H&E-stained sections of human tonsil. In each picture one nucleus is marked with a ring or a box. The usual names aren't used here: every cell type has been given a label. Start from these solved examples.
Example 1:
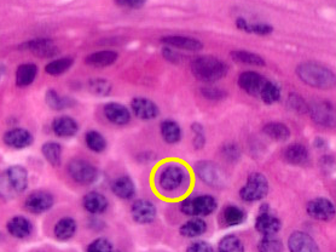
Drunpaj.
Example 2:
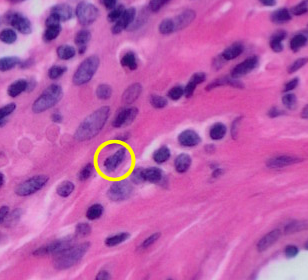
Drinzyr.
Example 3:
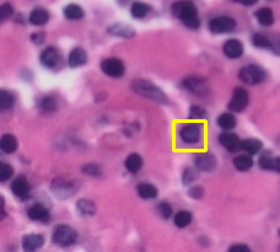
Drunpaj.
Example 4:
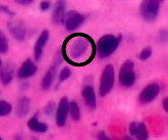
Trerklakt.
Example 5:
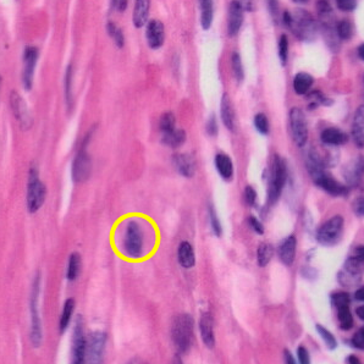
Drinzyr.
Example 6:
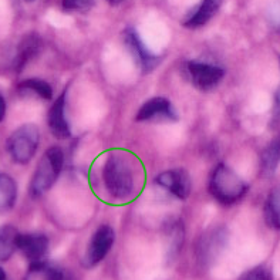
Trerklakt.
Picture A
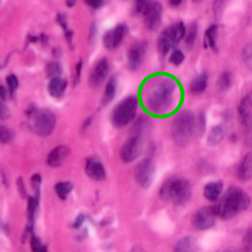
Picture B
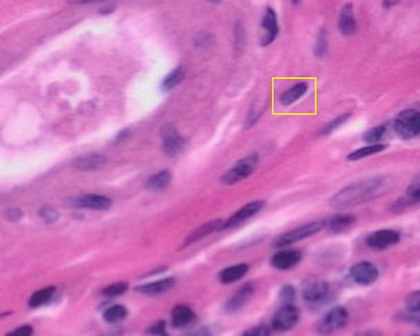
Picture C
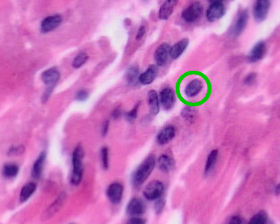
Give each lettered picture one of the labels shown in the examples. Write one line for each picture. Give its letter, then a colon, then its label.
A: Trerklakt.
B: Drinzyr.
C: Drinzyr.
